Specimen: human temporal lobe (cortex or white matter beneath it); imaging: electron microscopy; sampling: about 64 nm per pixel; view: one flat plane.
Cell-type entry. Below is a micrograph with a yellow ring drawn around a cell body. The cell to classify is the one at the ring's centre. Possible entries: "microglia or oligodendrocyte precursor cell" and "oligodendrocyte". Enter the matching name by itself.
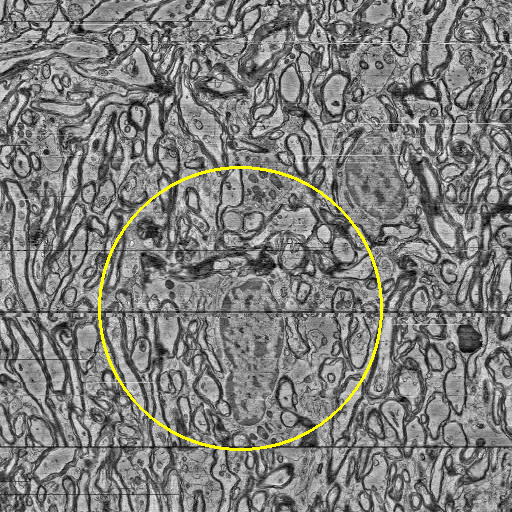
microglia or oligodendrocyte precursor cell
